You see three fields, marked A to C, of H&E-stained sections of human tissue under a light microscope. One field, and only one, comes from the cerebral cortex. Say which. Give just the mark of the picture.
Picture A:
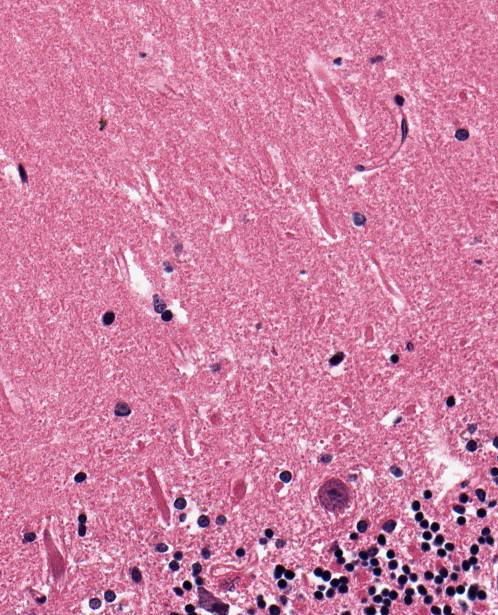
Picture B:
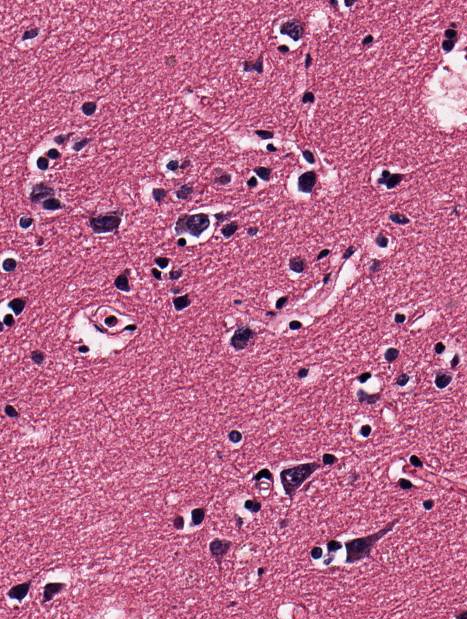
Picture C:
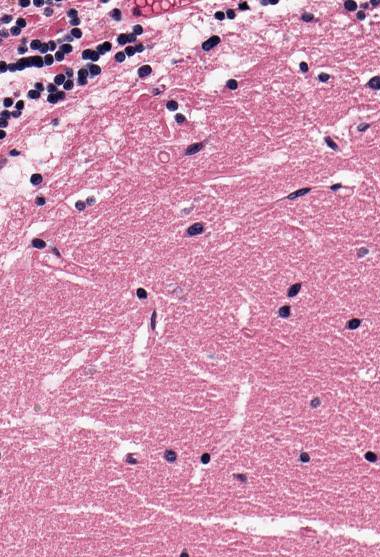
B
